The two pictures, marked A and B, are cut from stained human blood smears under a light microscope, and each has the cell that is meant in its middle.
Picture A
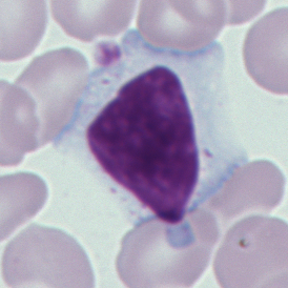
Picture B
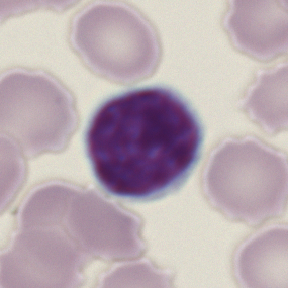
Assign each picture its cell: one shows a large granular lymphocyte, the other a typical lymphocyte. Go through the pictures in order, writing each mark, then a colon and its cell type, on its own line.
A: large granular lymphocyte
B: typical lymphocyte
